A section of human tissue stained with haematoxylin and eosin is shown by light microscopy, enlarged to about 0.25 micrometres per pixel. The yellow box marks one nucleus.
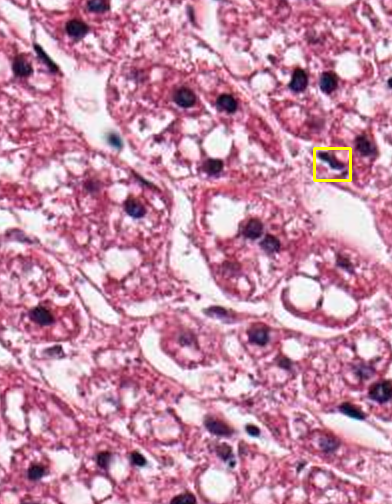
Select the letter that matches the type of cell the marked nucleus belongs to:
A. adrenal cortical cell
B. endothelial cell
B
